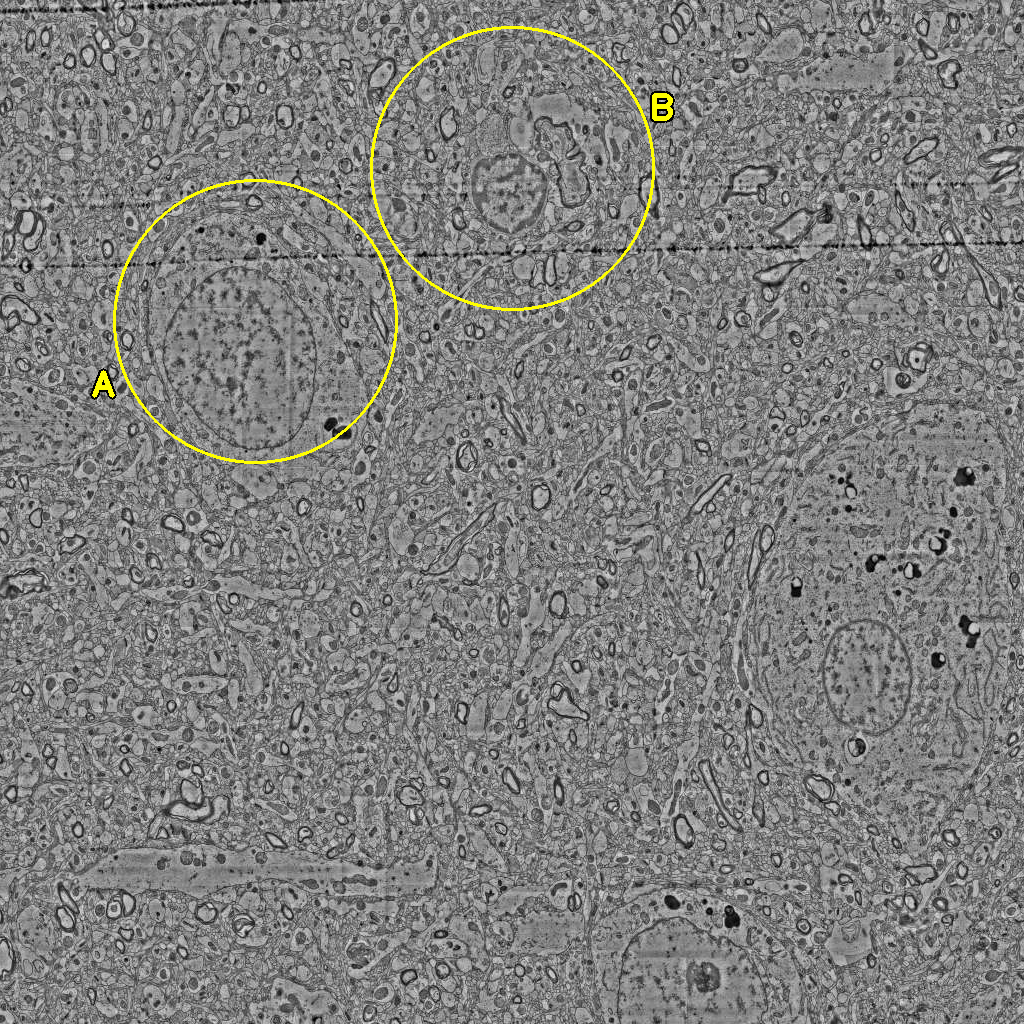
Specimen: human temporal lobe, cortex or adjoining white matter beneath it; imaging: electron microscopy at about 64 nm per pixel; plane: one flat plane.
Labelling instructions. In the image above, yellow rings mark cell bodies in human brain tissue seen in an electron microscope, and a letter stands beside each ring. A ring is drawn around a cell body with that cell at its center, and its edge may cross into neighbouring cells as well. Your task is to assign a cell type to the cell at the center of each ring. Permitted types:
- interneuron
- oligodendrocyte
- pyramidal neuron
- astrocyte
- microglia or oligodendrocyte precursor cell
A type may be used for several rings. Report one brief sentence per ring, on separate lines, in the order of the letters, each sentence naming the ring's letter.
The cell at the center of ring A is a pyramidal neuron.
The cell at the center of ring B is an oligodendrocyte.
